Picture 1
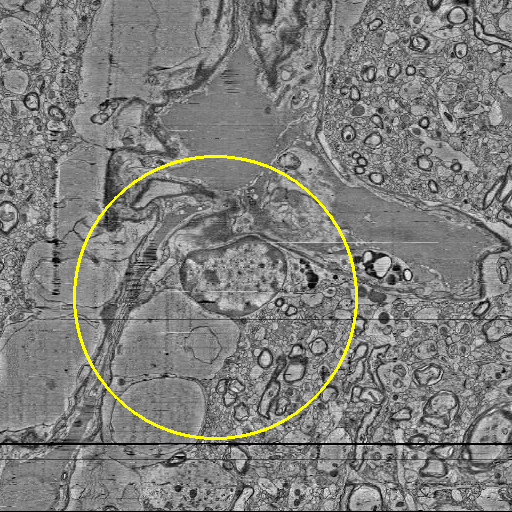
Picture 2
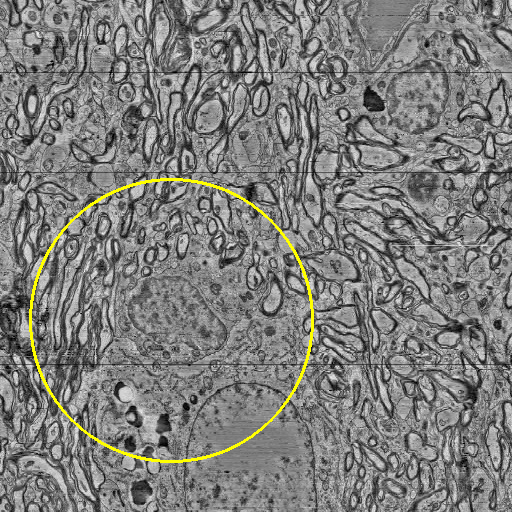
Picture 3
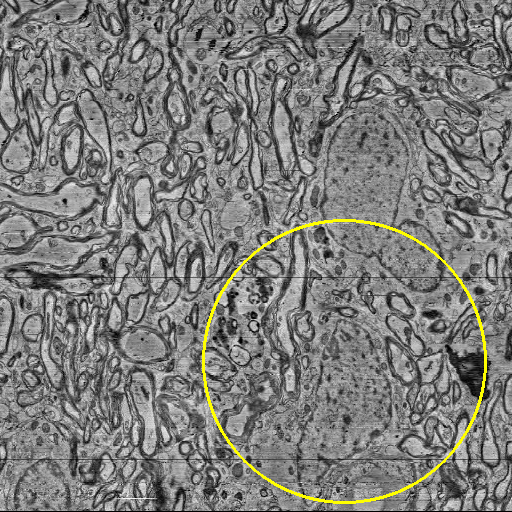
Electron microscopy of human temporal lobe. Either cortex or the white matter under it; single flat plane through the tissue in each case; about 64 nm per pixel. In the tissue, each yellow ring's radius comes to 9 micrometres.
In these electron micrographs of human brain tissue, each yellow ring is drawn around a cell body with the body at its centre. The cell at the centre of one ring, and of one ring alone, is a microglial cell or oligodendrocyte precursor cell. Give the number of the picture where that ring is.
1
